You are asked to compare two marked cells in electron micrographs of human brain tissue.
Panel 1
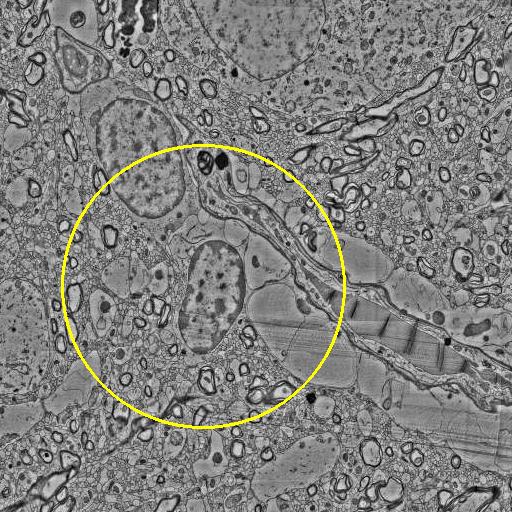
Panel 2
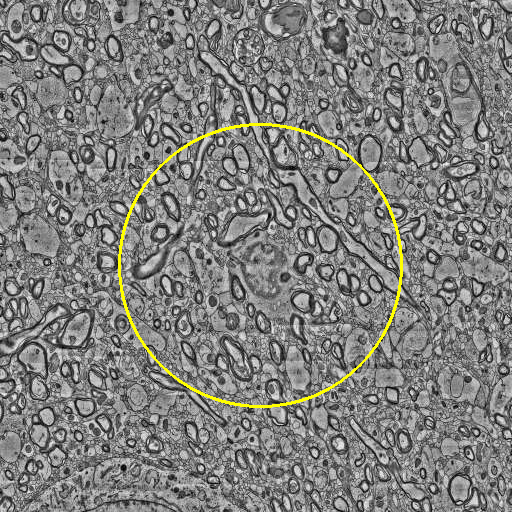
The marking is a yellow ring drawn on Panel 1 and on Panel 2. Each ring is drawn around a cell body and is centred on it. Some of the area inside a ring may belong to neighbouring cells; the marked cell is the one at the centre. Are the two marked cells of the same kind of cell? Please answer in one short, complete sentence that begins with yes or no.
No, the two marked cells are of two kinds.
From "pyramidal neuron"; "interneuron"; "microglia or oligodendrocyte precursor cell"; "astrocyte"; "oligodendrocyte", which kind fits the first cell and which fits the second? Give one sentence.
The cell marked in the first picture is a microglial cell or oligodendrocyte precursor cell, and the one marked in the second is an oligodendrocyte.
